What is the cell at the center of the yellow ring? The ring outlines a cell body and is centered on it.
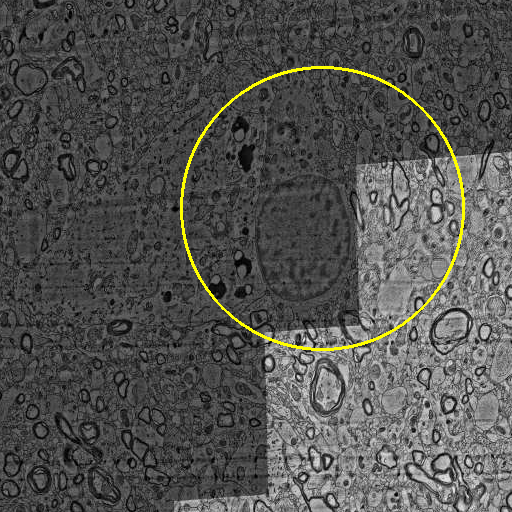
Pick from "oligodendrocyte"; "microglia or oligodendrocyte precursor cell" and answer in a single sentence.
The yellow ring is centered on an oligodendrocyte.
